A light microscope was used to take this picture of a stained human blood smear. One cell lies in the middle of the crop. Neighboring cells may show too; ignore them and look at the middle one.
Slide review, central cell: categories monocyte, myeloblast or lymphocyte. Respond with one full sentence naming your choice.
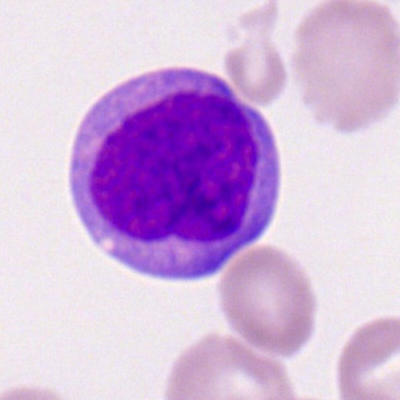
In the center of this field lies a monocyte.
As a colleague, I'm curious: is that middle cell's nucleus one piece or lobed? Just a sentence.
The nucleus is one compact mass, round, oval or kidney-shaped in outline.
